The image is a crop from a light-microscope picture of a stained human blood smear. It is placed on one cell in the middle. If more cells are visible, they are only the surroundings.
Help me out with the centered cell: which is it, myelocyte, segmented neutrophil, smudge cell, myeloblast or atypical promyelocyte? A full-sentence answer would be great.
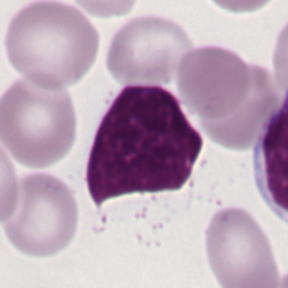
Here the centrally located cell is a smudge cell.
